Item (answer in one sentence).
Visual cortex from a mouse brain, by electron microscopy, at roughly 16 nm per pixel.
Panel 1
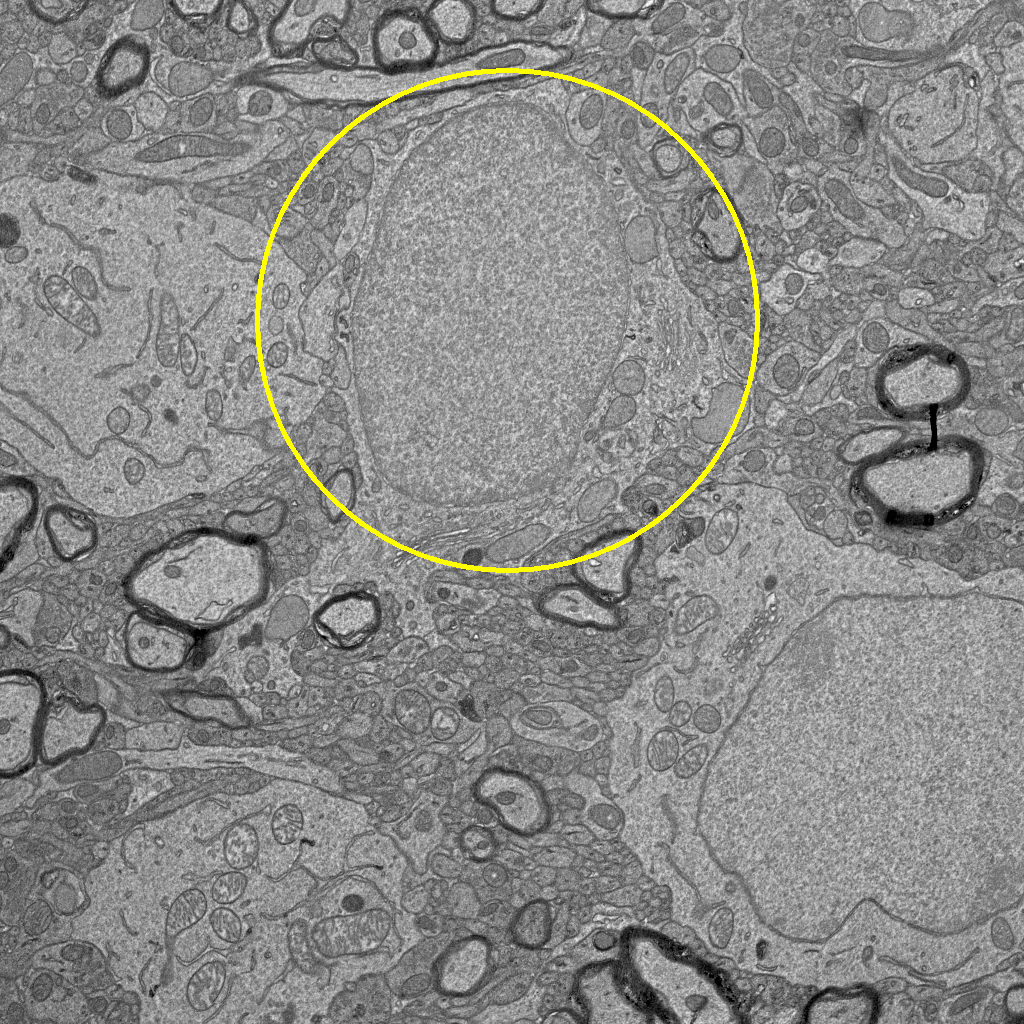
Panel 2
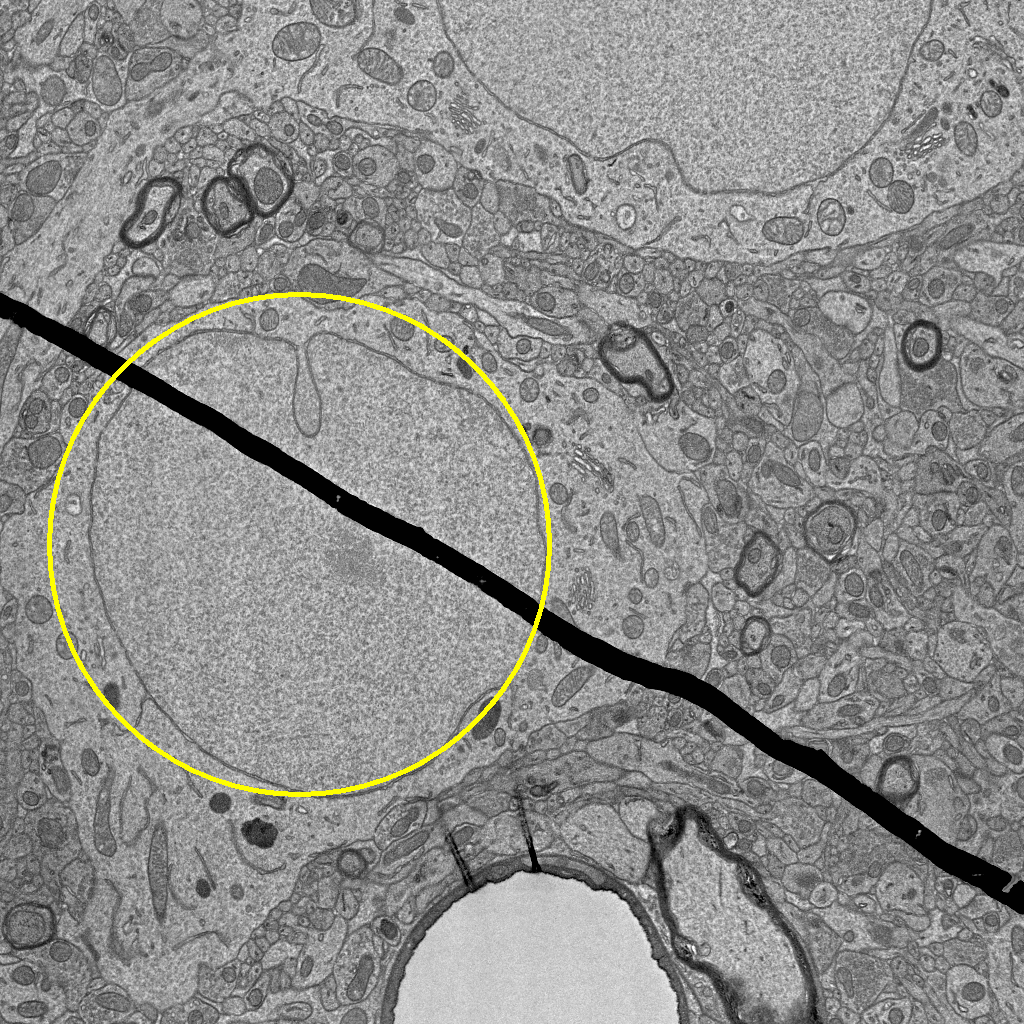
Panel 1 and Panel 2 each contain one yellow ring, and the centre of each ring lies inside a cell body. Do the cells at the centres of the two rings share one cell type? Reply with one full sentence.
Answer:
No, Panel 1 and Panel 2 show cells of two types at the centres of their rings.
